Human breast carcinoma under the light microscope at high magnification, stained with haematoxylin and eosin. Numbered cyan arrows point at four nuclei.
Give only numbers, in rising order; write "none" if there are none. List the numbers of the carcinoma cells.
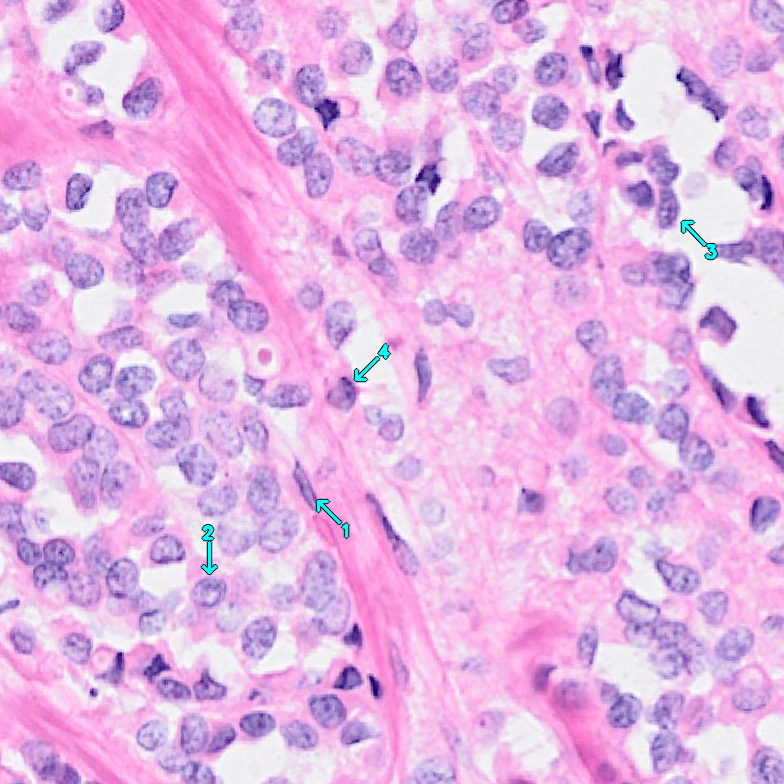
2, 3, 4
